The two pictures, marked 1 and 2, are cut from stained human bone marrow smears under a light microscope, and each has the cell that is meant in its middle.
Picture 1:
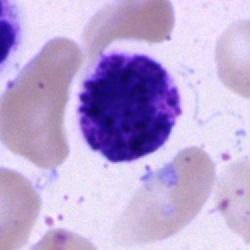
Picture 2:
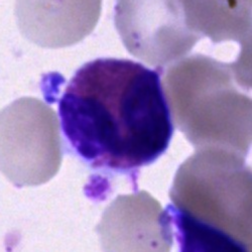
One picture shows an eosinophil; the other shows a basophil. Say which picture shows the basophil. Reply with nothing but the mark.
1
